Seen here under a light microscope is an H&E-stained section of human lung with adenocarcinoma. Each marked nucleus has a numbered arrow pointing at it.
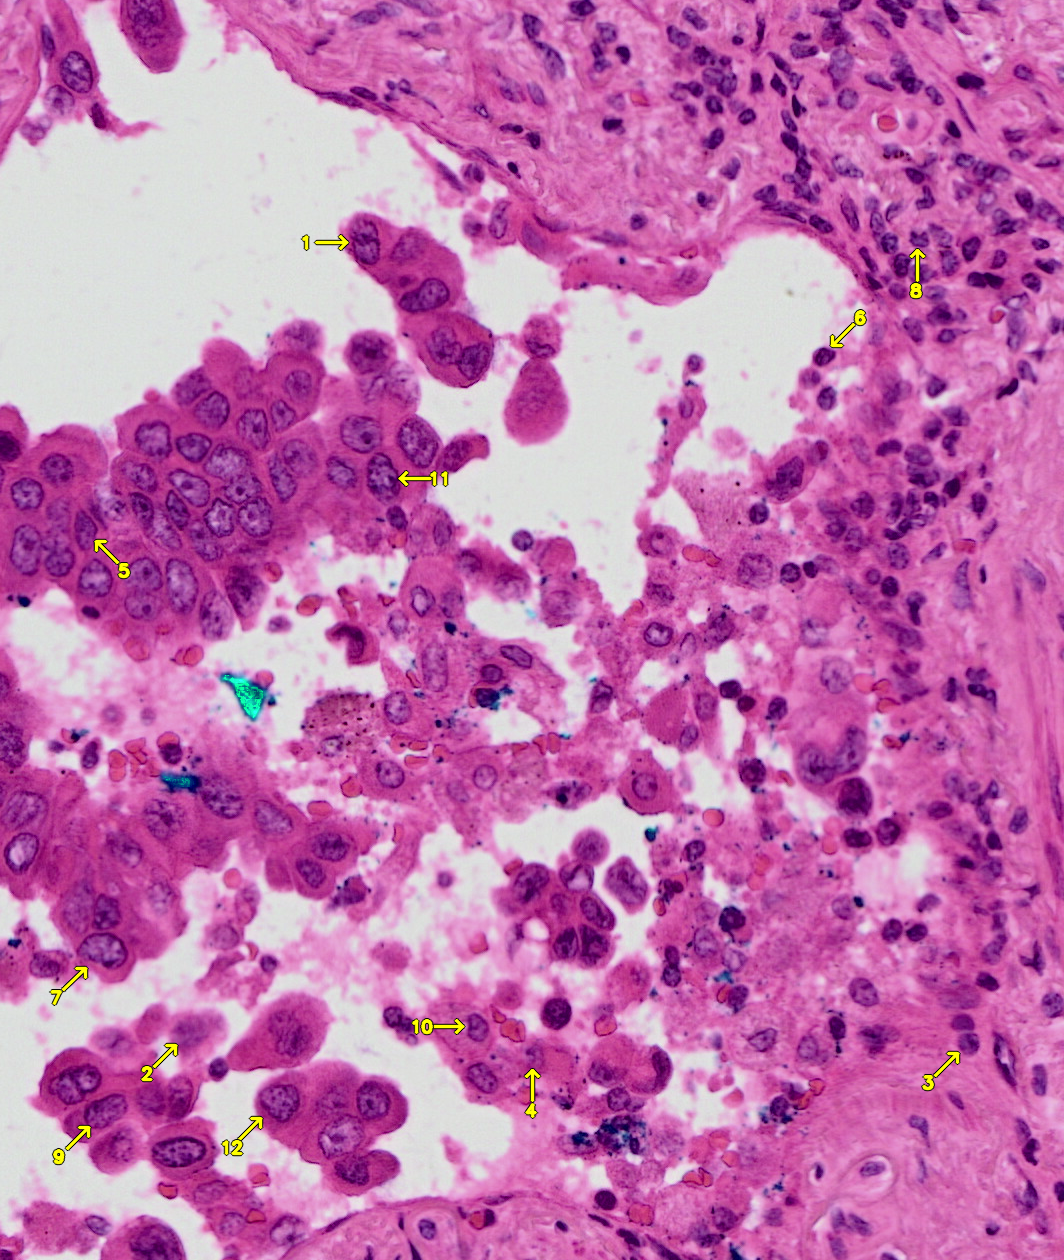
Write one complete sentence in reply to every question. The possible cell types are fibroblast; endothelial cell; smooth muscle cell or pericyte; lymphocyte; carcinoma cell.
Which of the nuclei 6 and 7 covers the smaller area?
With nucleus 7 about 4 times its size, nucleus 6 is the smaller of the two.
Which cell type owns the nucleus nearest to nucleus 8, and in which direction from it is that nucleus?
The closest nucleus belongs to a lymphocyte and sits to the right of nucleus 8.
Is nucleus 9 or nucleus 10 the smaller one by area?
Number 10 is smaller, since number 9 takes up about 2 times as much area.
